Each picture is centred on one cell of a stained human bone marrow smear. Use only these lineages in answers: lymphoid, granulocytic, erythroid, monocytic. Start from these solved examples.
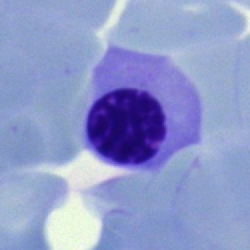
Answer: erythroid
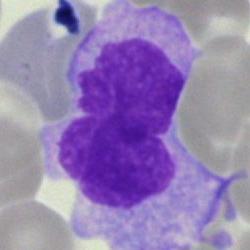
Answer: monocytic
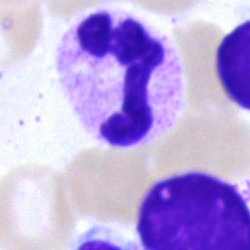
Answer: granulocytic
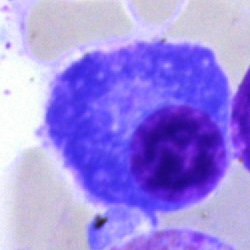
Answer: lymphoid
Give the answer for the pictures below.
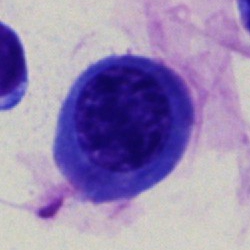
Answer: erythroid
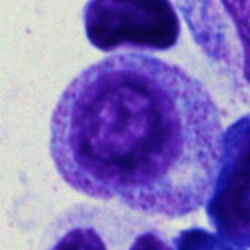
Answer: granulocytic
